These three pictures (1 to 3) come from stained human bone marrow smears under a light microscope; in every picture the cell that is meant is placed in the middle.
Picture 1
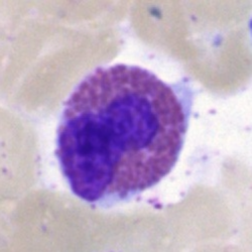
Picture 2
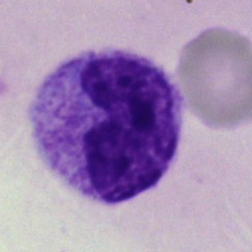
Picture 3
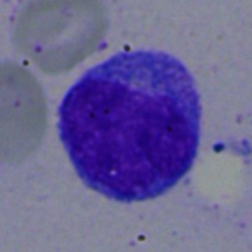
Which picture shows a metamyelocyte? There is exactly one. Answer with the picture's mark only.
2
